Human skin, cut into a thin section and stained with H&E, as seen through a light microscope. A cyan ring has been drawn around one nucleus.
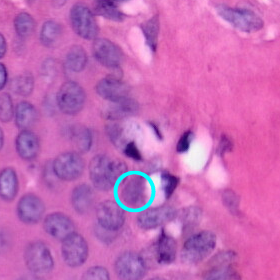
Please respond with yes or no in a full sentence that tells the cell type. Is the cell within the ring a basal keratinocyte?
Yes, with respect to cell type, the cell within the ring is a basal keratinocyte.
